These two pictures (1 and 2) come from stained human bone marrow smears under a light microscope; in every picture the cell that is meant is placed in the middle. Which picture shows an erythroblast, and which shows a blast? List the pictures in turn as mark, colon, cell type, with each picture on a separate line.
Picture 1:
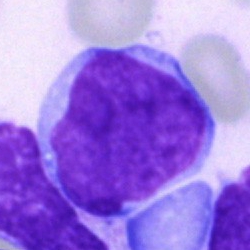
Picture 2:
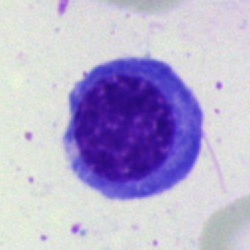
1: blast
2: erythroblast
